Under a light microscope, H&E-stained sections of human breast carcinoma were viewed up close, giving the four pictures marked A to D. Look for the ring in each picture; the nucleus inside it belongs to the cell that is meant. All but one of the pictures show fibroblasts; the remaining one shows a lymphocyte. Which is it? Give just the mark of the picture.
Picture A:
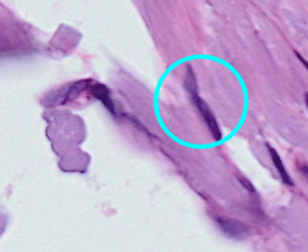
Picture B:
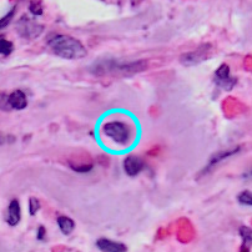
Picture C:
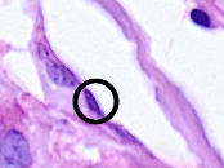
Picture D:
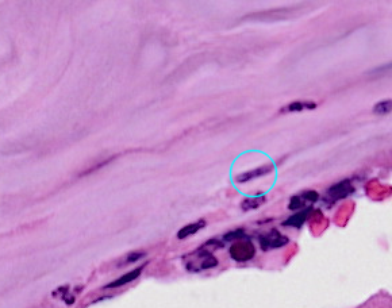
B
